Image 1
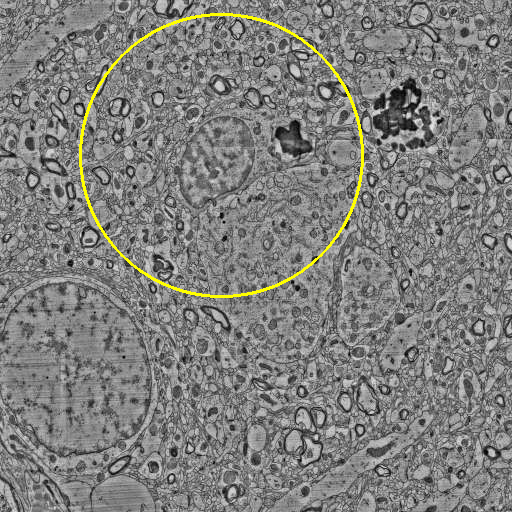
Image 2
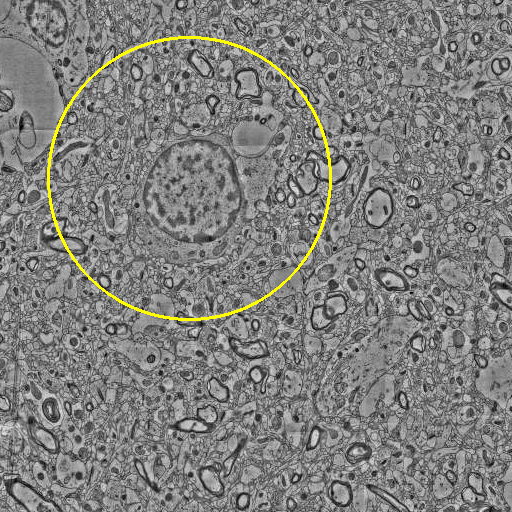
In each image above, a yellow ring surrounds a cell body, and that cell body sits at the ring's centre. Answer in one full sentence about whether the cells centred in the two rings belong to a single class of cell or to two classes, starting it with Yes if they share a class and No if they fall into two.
Yes, the cells centred in the two yellow rings belong to a single class of cell.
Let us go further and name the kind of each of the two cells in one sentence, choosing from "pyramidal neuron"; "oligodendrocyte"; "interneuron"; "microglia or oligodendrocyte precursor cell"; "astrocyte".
Each of the ringed cells, first and second, is an oligodendrocyte.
